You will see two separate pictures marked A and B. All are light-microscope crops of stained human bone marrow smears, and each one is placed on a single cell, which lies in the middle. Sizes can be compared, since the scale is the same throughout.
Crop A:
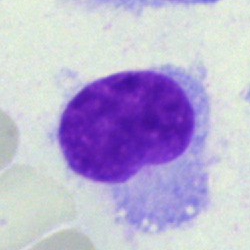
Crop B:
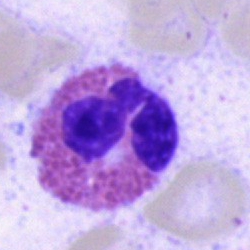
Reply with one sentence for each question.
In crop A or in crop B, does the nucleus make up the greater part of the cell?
In crop A the nucleus takes up the larger part of its cell.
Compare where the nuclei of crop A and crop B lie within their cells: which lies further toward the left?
Seen within its cell, the nucleus in crop A lies further toward the left.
